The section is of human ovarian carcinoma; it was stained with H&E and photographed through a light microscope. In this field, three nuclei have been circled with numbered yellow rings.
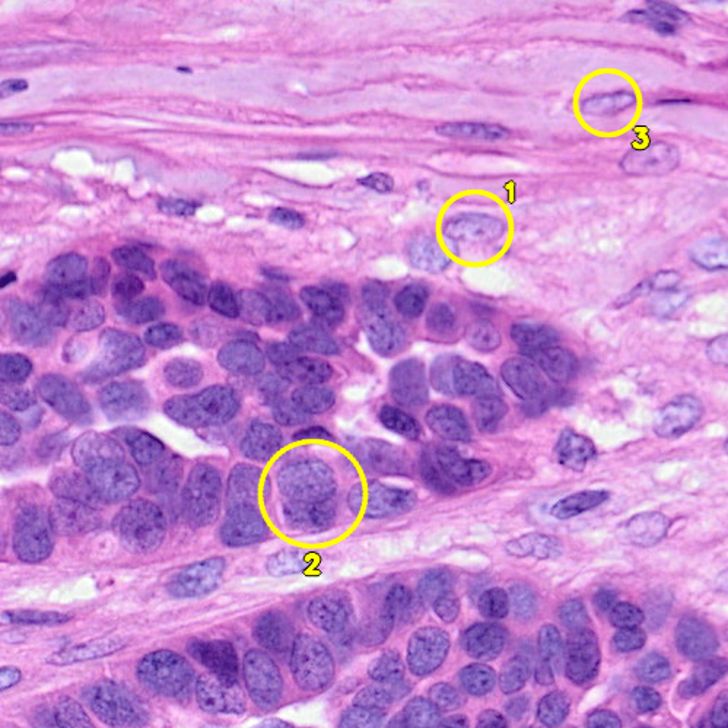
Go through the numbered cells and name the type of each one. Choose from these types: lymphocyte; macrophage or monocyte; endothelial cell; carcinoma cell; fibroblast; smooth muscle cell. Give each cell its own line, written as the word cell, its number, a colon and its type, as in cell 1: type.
cell 1: fibroblast
cell 2: carcinoma cell
cell 3: fibroblast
